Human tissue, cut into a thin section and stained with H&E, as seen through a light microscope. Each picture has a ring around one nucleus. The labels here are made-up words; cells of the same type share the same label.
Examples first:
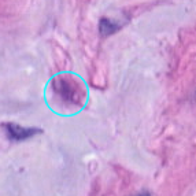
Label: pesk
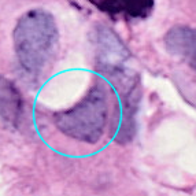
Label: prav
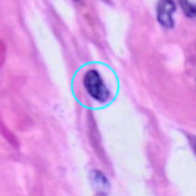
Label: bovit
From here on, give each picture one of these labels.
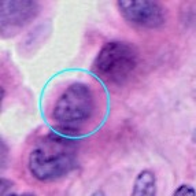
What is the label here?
prav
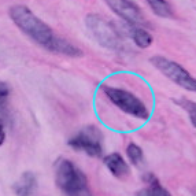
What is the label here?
pesk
